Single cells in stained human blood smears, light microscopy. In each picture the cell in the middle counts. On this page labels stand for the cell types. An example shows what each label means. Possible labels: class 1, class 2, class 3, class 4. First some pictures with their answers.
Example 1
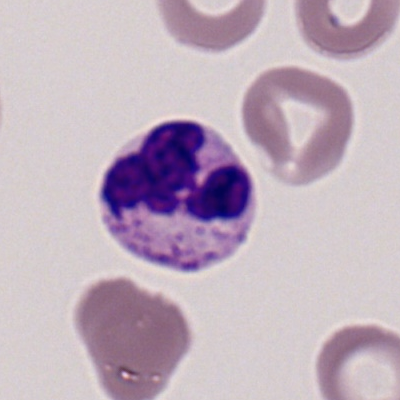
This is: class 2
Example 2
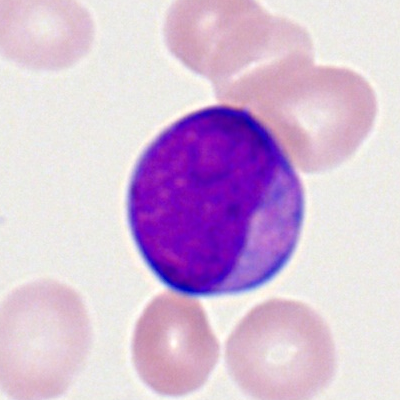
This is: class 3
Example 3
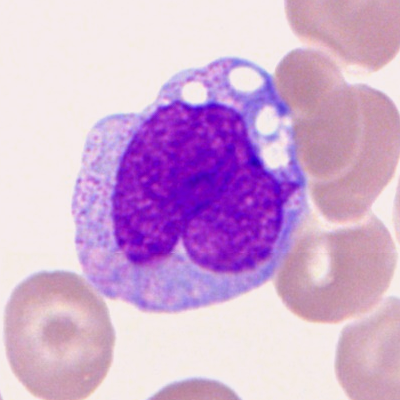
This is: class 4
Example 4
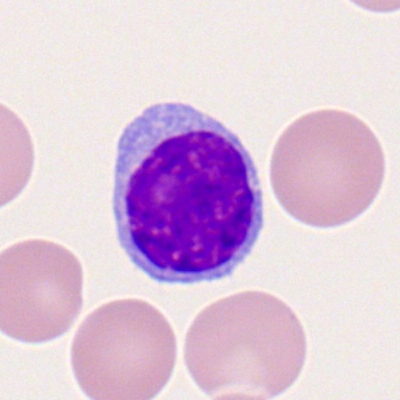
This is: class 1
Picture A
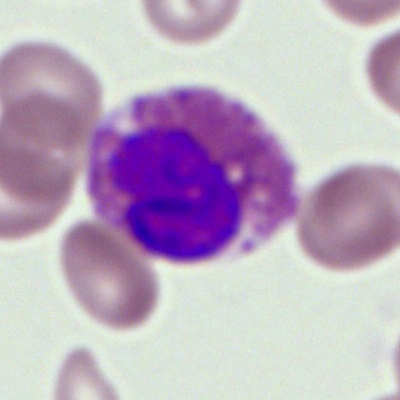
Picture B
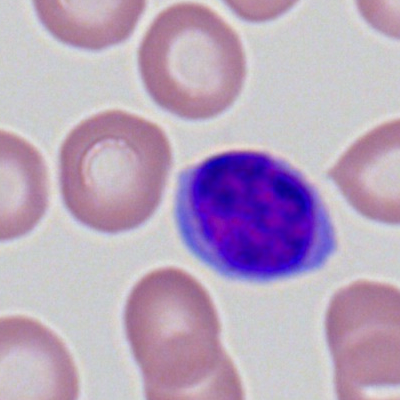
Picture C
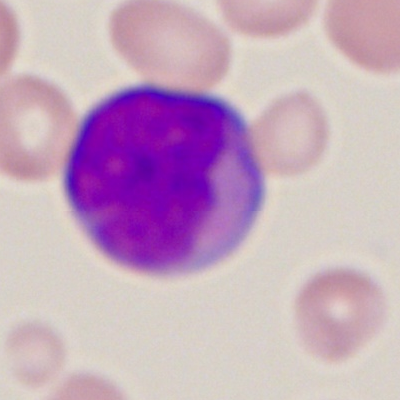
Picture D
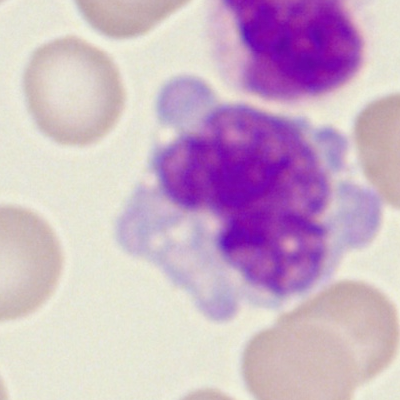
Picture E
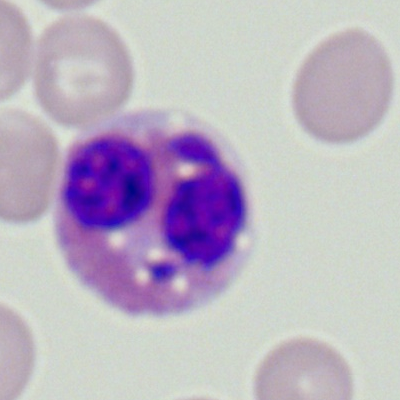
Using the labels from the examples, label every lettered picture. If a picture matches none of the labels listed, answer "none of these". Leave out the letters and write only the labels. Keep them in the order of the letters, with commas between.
none of these, class 1, class 3, class 4, none of these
